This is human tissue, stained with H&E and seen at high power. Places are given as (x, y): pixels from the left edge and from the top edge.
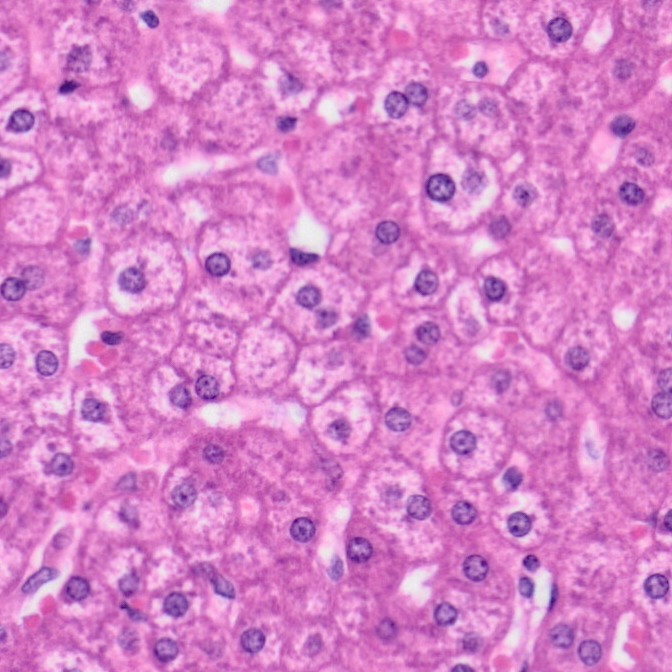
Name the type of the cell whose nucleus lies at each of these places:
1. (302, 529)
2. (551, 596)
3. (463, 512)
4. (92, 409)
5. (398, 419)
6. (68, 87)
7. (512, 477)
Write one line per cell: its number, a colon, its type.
1: hepatocyte
2: endothelial cell
3: hepatocyte
4: hepatocyte
5: hepatocyte
6: fibroblast or stellate cell
7: endothelial cell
